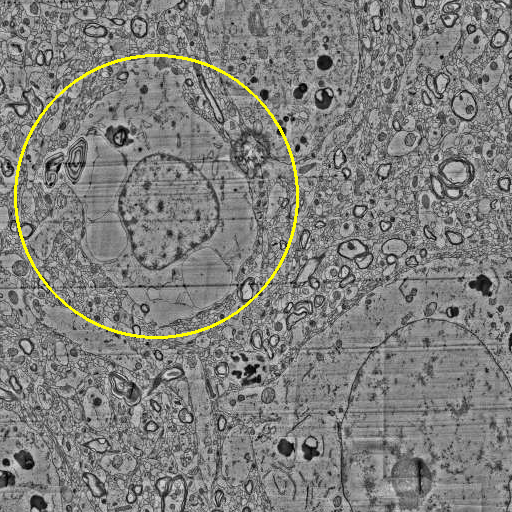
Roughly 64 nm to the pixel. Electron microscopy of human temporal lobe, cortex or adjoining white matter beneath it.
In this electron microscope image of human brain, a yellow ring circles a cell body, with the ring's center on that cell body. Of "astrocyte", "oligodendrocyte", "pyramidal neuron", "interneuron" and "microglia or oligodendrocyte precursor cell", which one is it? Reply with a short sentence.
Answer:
It is an astrocyte at the center of the ring.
